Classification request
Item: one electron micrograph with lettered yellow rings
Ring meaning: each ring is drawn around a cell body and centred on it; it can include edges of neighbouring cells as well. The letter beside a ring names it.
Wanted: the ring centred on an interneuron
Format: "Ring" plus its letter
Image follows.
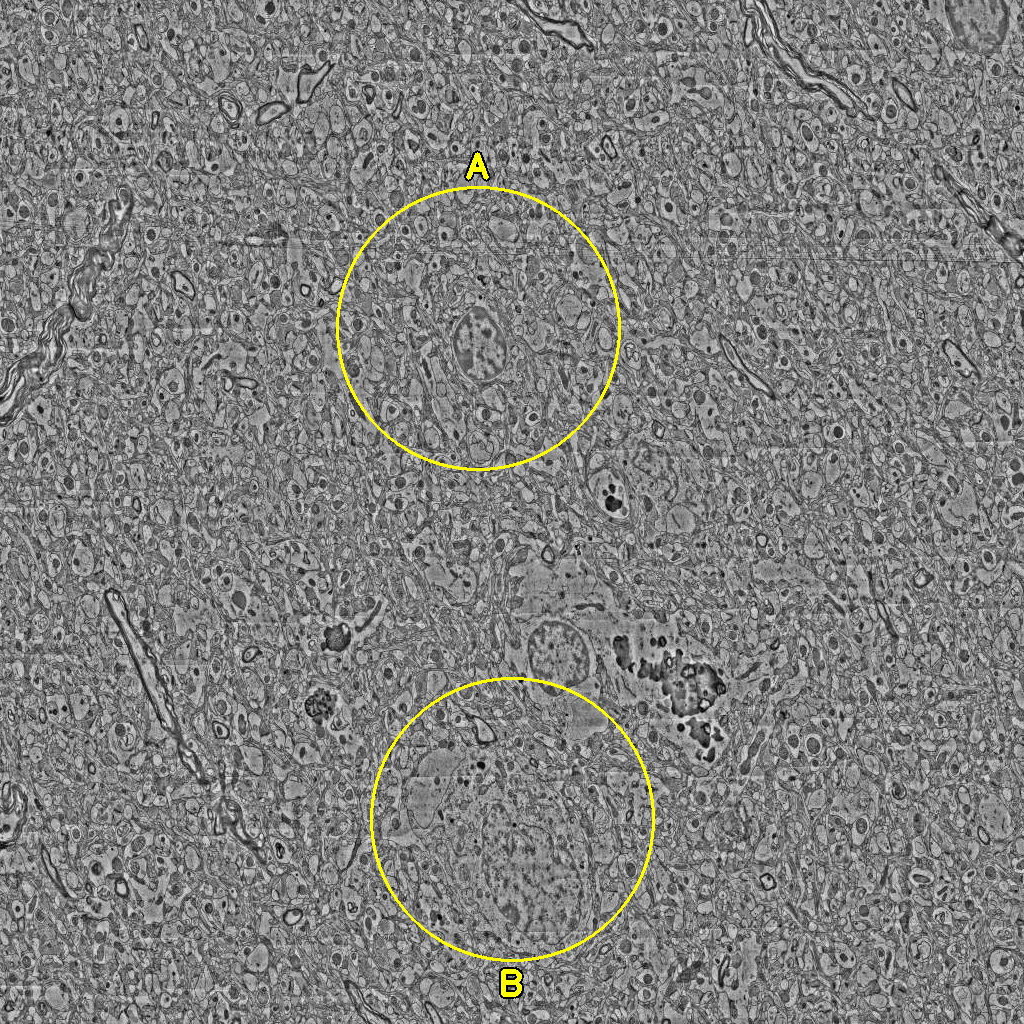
Ring B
